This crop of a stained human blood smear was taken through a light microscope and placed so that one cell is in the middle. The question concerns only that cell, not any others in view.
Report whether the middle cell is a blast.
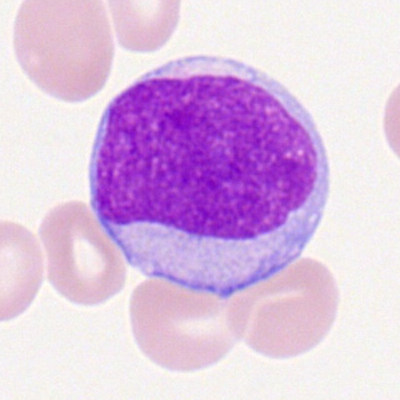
yes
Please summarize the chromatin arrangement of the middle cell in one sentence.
The chromatin remains finely textured, with no coarse clumps to speak of.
